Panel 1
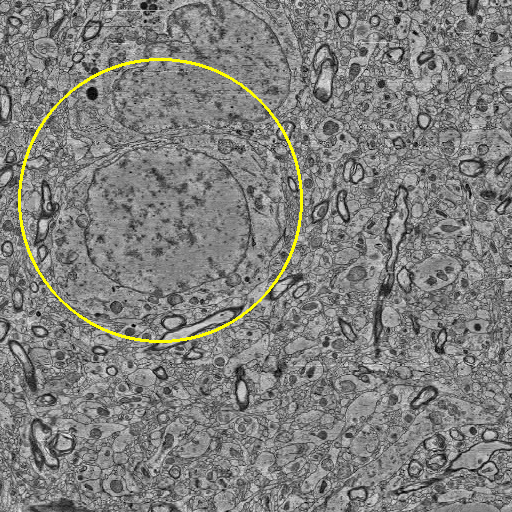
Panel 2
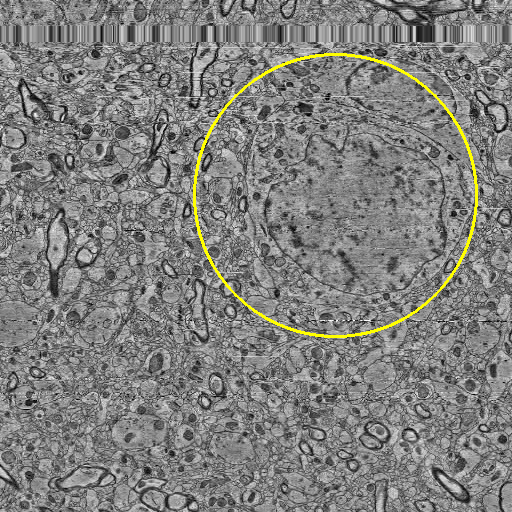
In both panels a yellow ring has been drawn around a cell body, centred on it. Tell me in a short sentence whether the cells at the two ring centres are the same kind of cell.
No, they are two kinds of cell.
